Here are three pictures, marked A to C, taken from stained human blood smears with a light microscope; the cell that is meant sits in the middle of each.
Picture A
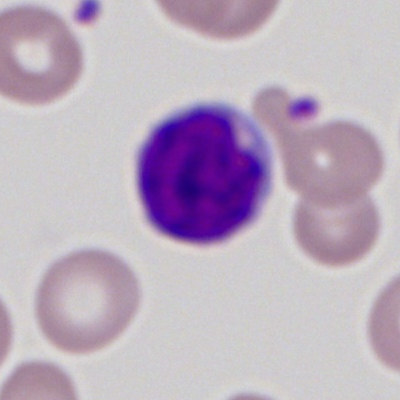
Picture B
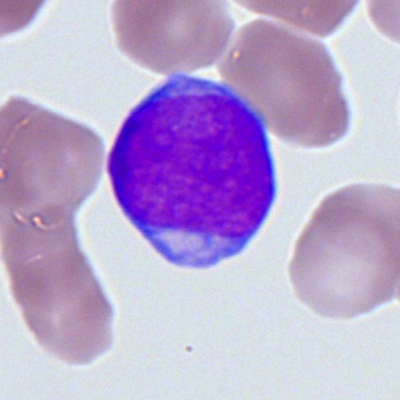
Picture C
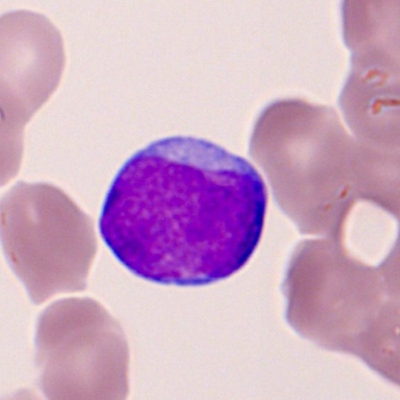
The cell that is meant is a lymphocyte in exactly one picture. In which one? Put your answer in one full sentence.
The lymphocyte is the one in picture A.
